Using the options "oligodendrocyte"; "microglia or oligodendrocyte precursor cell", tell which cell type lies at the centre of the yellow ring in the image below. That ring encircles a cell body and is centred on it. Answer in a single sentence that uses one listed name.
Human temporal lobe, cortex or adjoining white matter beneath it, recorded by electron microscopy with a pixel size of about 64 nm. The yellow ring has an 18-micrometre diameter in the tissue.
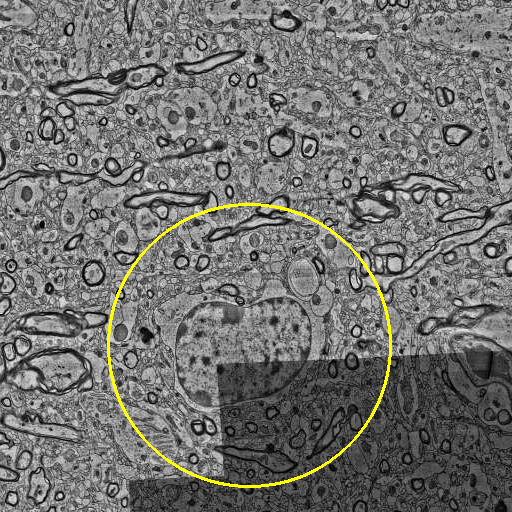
At the centre of the yellow ring lies the body of a microglial cell or oligodendrocyte precursor cell.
